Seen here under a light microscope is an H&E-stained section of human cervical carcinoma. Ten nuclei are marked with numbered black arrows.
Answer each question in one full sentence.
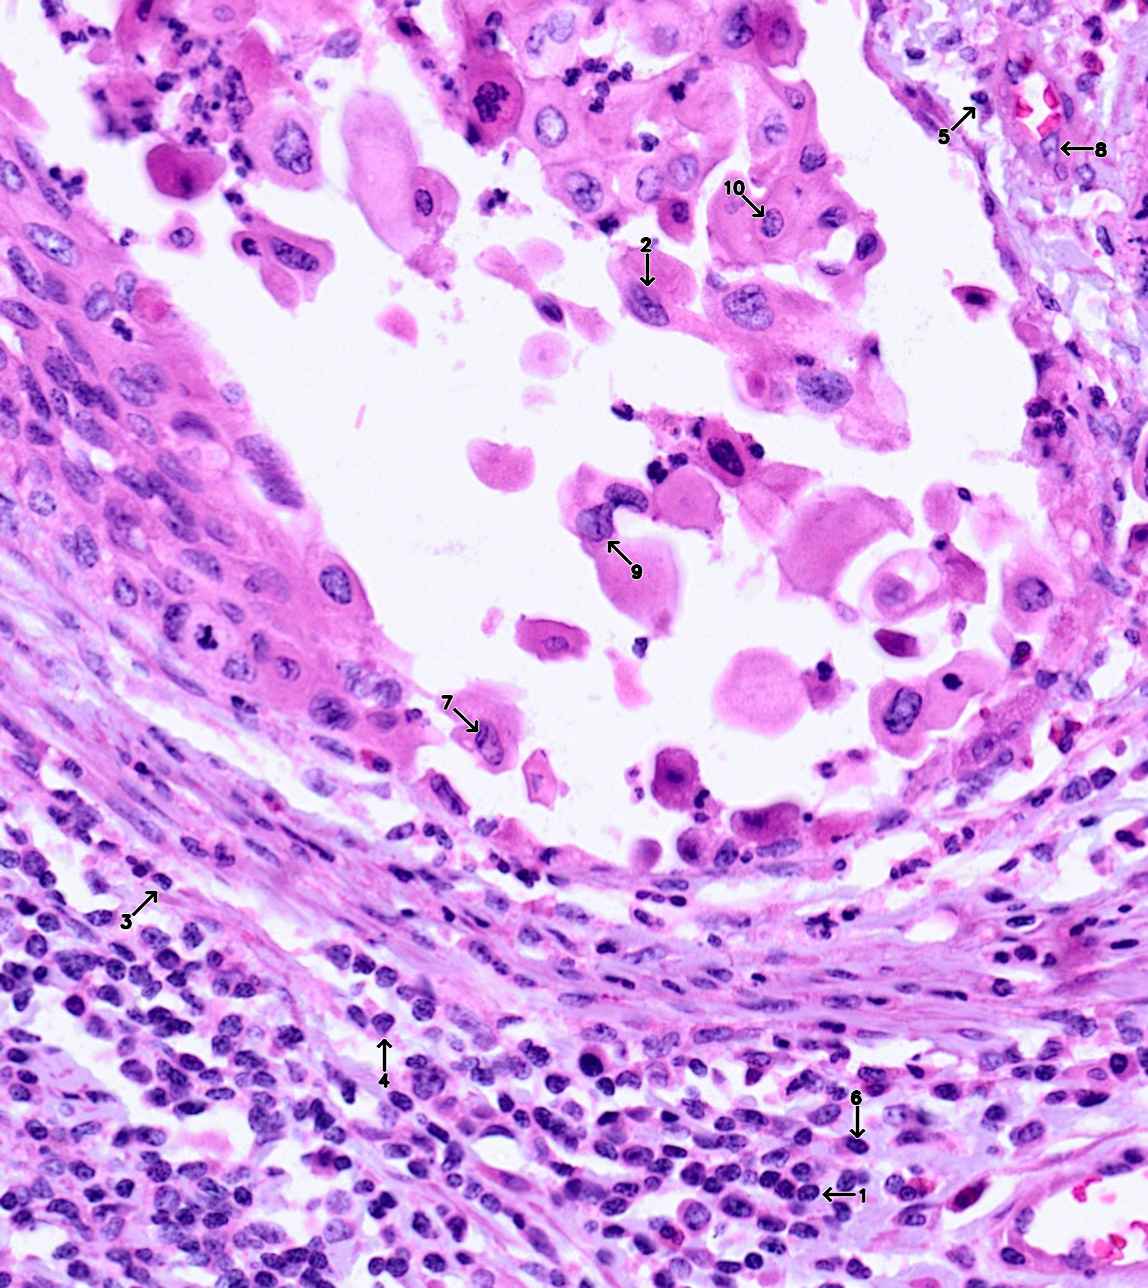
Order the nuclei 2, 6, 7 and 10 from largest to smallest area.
By area, largest first, they run 2, 7, 10, 6.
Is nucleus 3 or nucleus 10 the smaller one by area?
Nucleus 3 is the smaller one; nucleus 10 covers about 2 times its area.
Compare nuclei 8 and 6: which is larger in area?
Nucleus 8 covers more area, about 1.5 times as much as nucleus 6.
